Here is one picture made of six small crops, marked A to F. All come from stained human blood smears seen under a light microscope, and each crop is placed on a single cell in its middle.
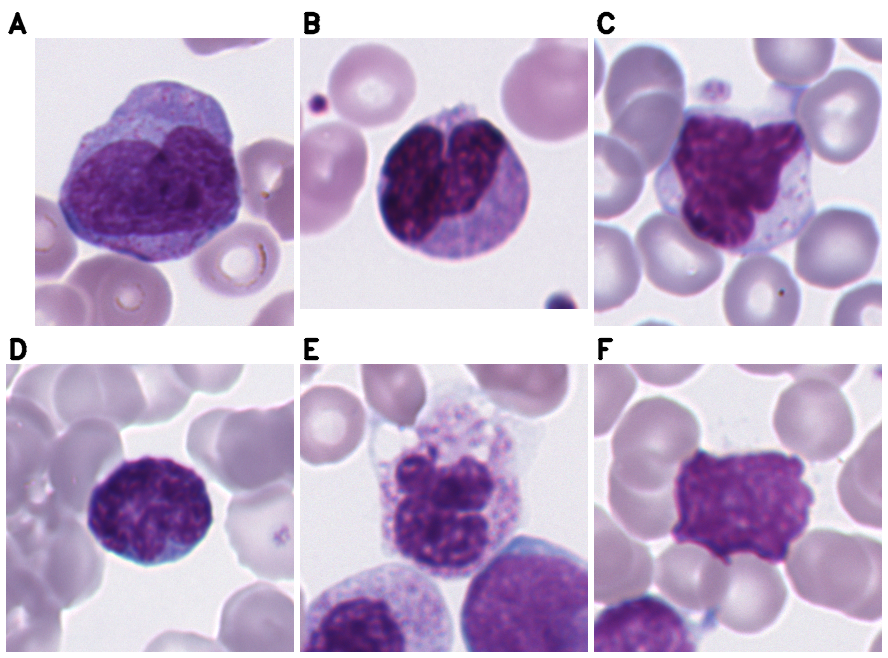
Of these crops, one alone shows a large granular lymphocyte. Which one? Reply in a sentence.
It is in crop C, among all the crops, that a large granular lymphocyte is present.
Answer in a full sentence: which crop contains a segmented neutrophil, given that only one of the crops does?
The crop marked E is the one in which a segmented neutrophil is shown.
